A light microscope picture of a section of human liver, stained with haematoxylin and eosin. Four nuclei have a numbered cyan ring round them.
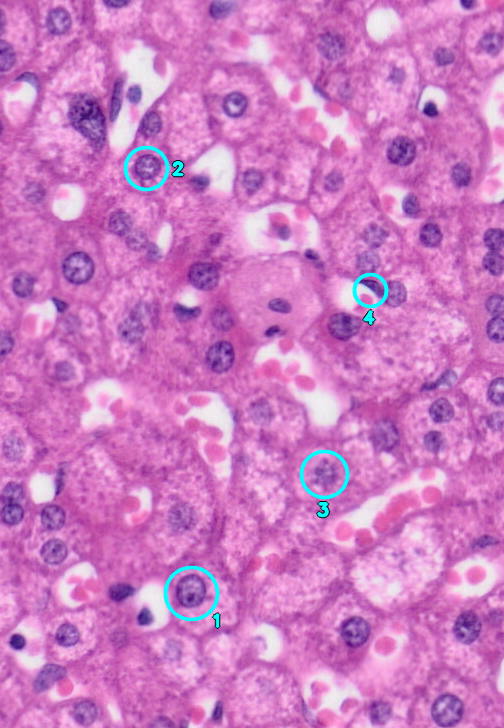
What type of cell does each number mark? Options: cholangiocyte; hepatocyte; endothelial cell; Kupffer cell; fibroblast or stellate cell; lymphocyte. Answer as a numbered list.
1. hepatocyte
2. hepatocyte
3. hepatocyte
4. endothelial cell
